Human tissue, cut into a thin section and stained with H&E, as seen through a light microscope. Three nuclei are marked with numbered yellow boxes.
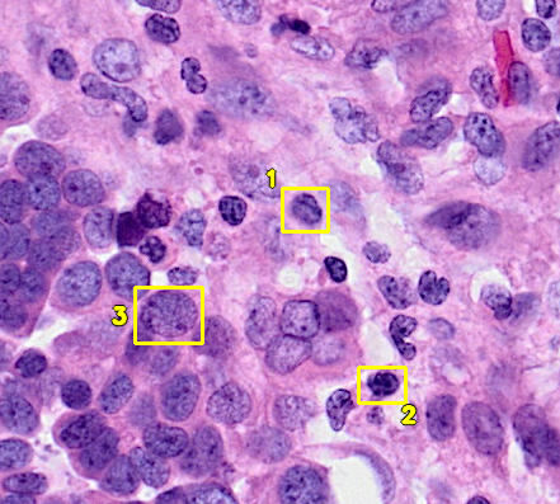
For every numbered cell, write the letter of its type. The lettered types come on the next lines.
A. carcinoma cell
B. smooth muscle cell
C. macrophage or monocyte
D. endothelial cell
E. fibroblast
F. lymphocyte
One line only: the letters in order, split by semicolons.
F; F; A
